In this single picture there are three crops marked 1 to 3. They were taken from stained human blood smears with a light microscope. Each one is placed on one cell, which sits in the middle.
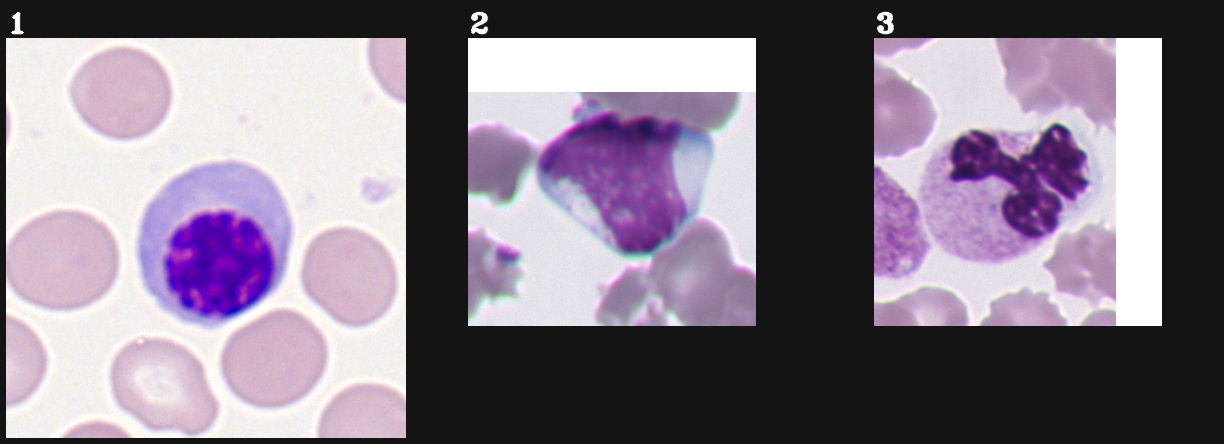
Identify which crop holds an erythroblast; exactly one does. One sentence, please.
Crop 1 is the crop whose central cell is an erythroblast.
